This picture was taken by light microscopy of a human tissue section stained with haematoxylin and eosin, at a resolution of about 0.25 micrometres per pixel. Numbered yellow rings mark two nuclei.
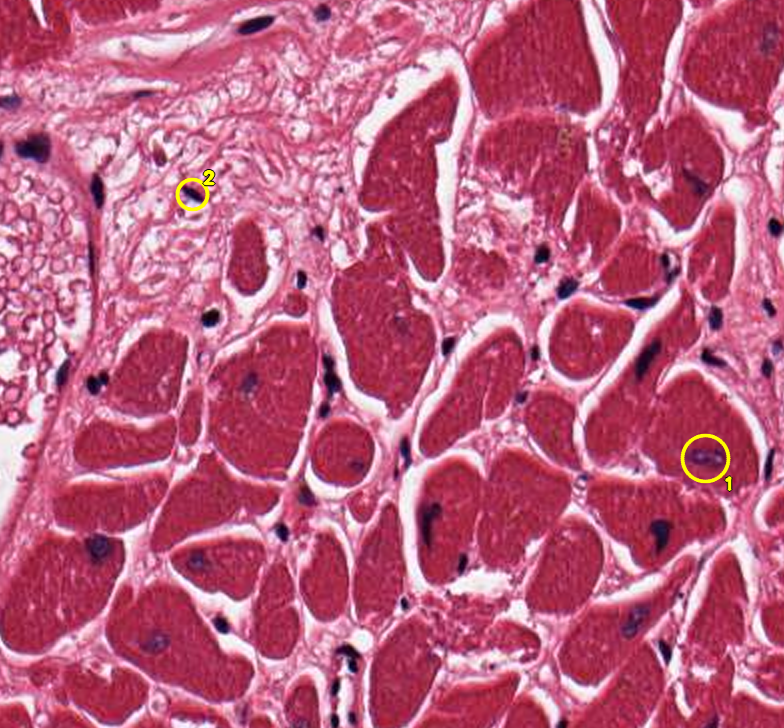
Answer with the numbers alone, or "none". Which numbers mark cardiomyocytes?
1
